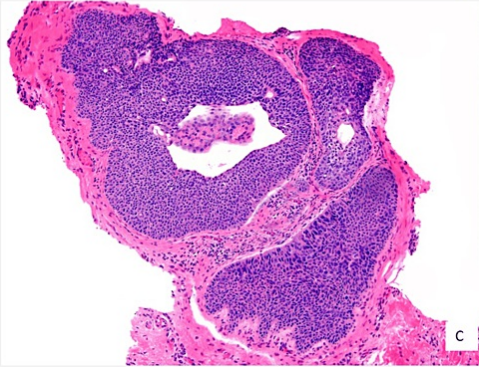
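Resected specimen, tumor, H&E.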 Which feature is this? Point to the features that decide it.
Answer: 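Well-defined lumens. A clear, sharply bordered space lies in the centre of a purple cell nest. A smaller clear space lies in the adjacent nest.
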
